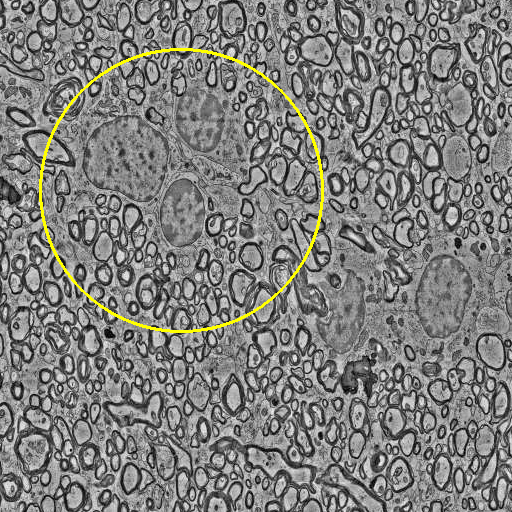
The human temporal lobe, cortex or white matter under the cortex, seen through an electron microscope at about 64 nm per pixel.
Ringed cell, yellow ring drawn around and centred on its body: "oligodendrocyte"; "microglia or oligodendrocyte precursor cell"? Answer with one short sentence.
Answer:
This ringed cell is a microglial cell or oligodendrocyte precursor cell.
